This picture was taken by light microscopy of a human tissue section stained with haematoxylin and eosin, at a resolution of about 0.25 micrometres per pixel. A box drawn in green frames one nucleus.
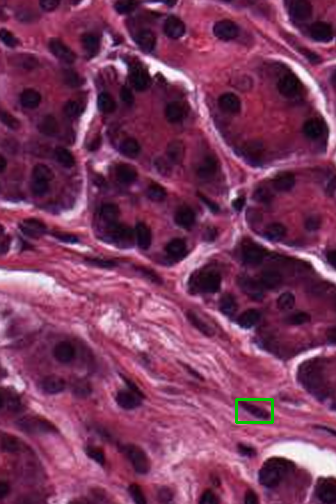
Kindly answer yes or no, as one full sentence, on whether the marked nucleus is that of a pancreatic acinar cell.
No, the cell that carries the marked nucleus is a supporting cell, not a pancreatic acinar cell.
